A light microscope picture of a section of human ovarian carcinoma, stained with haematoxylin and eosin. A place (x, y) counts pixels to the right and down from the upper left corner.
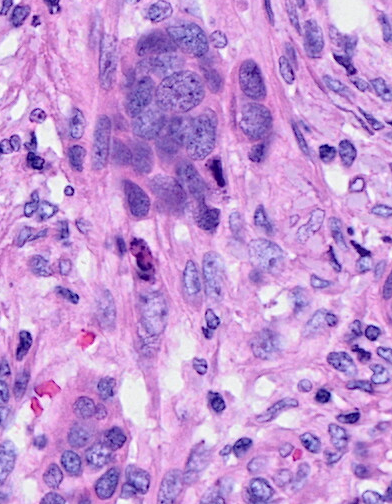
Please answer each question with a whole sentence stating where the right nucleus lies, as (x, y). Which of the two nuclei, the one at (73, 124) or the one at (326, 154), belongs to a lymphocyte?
The nucleus at (326, 154) is the one that belongs to a lymphocyte.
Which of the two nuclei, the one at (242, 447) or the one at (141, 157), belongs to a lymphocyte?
Located at (242, 447), this nucleus is the one belonging to a lymphocyte.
